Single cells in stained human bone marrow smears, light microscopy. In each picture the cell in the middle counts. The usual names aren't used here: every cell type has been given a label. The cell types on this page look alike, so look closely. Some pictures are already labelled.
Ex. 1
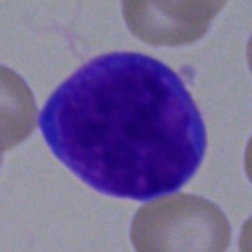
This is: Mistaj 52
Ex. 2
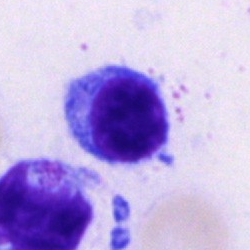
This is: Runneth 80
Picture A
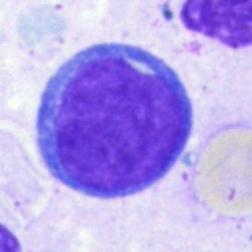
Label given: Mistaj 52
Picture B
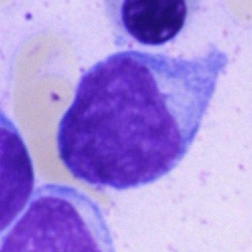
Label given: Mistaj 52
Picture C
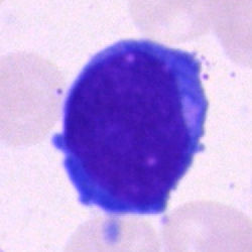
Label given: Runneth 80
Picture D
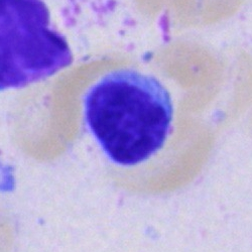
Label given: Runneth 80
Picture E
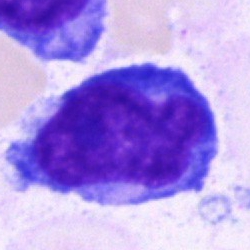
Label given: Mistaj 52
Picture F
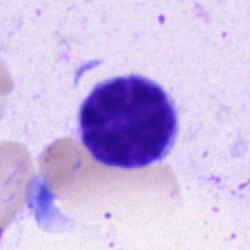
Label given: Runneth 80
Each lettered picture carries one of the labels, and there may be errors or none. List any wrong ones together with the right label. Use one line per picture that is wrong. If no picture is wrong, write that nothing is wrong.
C: change Runneth 80 to Mistaj 52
